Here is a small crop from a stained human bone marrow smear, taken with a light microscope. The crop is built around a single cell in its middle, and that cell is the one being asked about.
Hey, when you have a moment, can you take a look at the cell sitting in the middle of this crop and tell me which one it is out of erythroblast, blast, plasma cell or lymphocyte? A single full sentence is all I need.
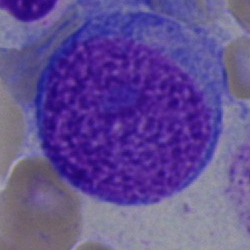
This crop's central cell is a blast.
